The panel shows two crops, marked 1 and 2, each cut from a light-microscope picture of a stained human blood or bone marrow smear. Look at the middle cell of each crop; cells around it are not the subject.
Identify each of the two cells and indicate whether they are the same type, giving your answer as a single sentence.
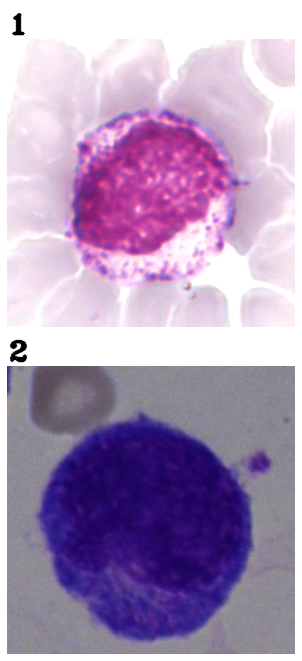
No, crop 1 is where a myelocyte is shown, and crop 2 is where a promyelocyte is shown.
